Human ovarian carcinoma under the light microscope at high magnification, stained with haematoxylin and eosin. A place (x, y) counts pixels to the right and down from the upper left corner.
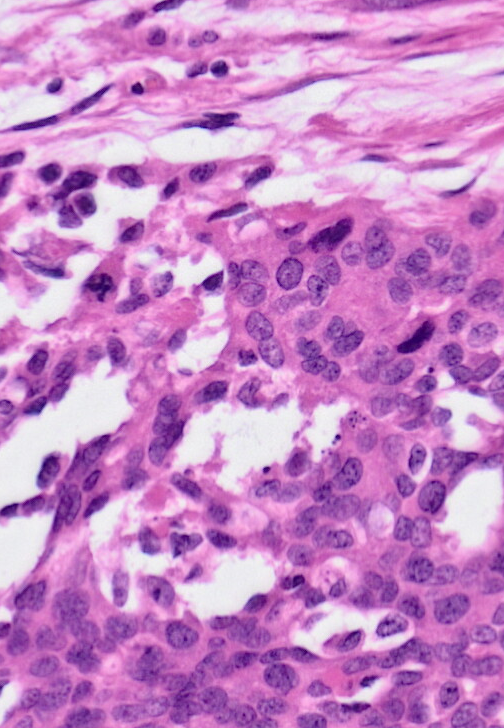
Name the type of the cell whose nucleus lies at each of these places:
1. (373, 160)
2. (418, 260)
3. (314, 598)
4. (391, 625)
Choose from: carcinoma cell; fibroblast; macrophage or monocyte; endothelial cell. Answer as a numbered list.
1. fibroblast
2. carcinoma cell
3. macrophage or monocyte
4. macrophage or monocyte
